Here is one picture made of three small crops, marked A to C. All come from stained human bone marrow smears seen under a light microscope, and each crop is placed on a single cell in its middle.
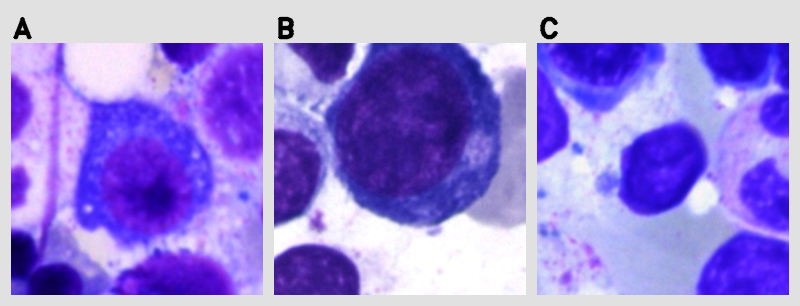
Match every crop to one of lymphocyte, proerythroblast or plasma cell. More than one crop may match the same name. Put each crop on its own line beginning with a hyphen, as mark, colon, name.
- A: plasma cell
- B: proerythroblast
- C: lymphocyte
